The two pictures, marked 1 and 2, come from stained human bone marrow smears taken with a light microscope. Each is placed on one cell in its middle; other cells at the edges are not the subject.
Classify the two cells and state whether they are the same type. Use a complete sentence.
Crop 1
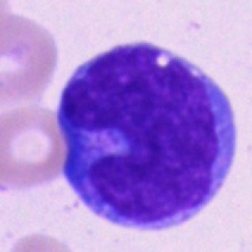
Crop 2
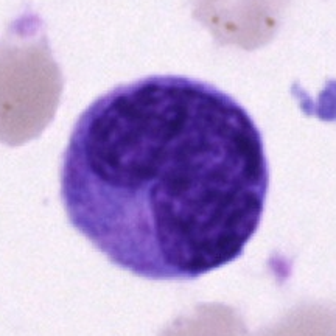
Yes, the centre cells of both crops are monocytes.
